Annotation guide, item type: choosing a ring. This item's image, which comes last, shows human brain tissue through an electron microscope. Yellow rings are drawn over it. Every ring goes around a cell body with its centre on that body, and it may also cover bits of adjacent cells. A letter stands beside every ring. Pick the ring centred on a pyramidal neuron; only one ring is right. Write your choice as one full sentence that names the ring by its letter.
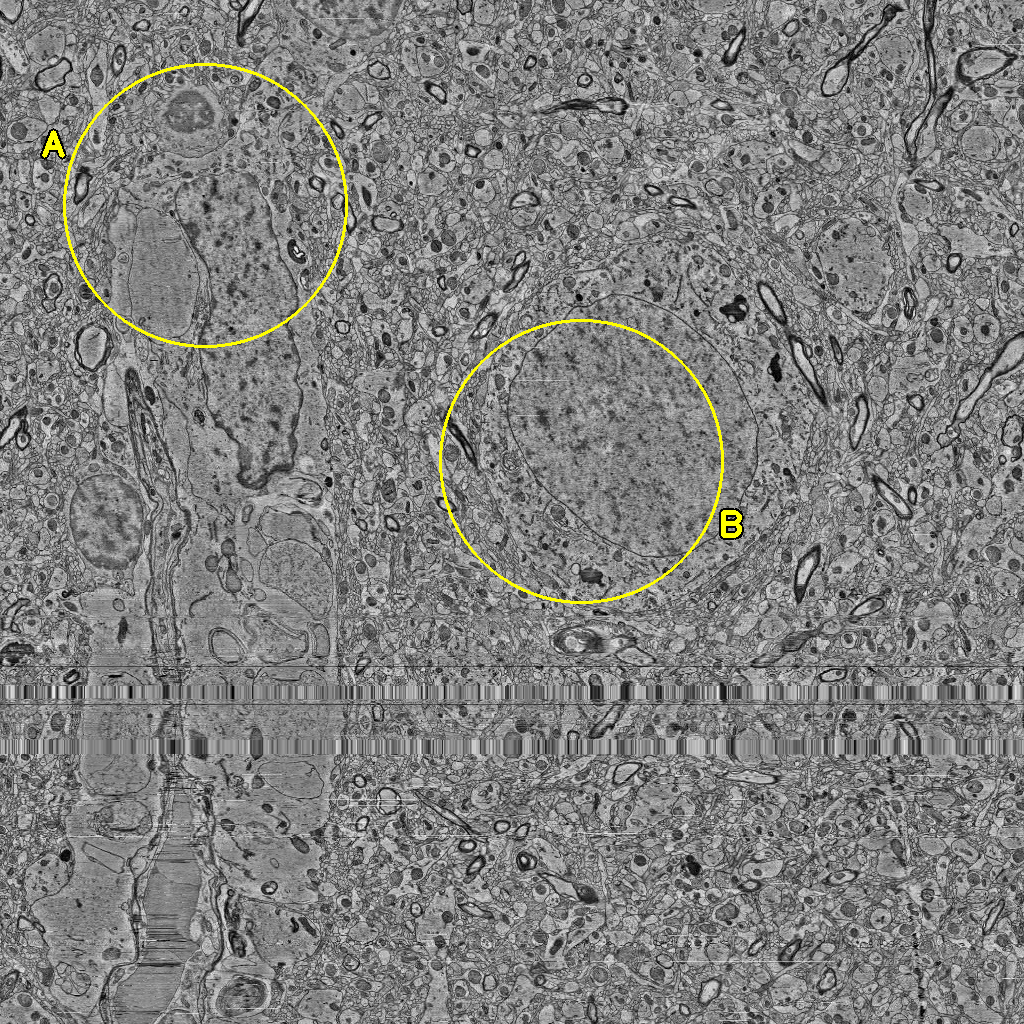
In the image, Ring B is centred on a cell of the kind requested.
